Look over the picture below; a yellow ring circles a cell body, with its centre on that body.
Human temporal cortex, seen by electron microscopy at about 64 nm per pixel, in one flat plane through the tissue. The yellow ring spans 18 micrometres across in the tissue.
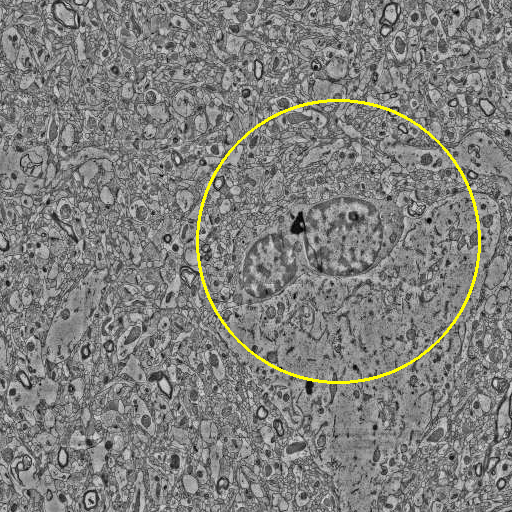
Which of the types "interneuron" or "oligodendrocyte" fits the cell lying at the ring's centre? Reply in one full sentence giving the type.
The picture shows an oligodendrocyte at the centre of the yellow ring.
